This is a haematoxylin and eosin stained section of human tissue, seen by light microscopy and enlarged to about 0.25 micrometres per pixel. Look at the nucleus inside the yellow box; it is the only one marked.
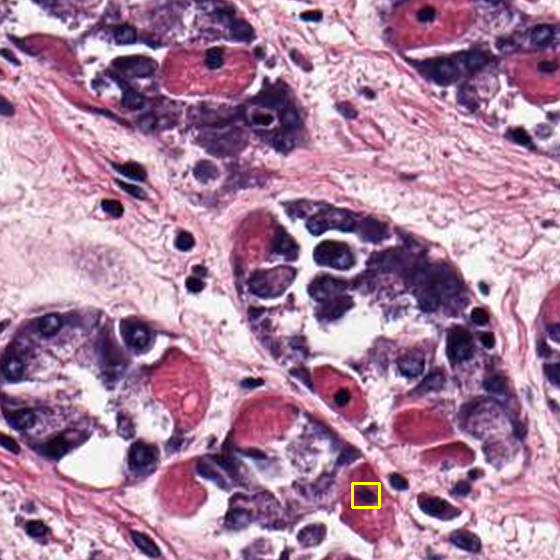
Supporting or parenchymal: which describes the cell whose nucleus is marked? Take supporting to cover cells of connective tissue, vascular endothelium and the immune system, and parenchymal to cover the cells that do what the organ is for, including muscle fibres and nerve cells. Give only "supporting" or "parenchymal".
parenchymal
